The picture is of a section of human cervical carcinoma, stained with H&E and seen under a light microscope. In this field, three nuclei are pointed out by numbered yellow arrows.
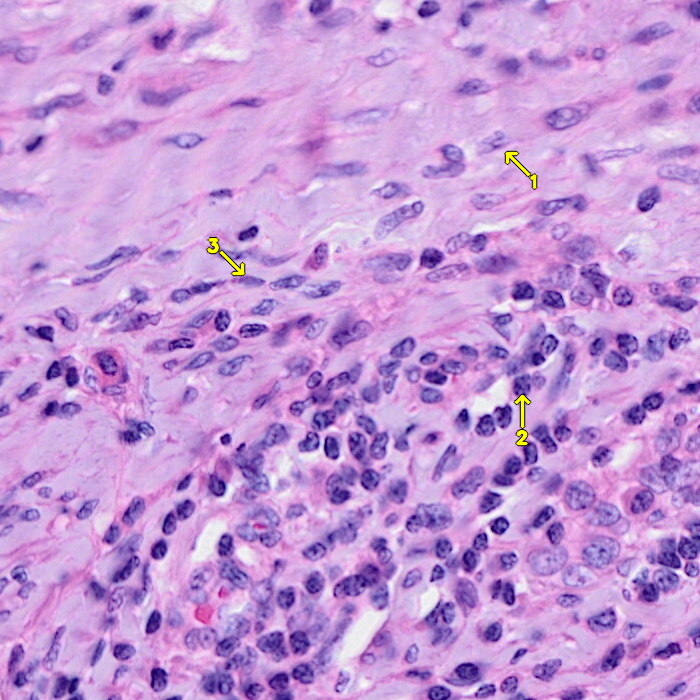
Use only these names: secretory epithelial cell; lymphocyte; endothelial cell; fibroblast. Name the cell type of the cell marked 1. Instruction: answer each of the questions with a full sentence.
The cell indicated with the number 1 is classed as a fibroblast.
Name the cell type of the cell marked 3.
At number 3, the marked cell is a fibroblast.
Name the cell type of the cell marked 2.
The cell referenced by the number 2 is a lymphocyte in this field.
